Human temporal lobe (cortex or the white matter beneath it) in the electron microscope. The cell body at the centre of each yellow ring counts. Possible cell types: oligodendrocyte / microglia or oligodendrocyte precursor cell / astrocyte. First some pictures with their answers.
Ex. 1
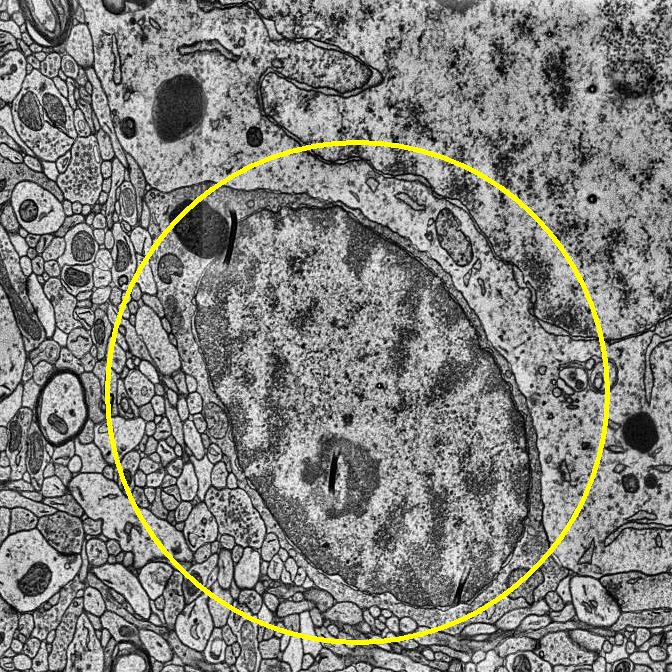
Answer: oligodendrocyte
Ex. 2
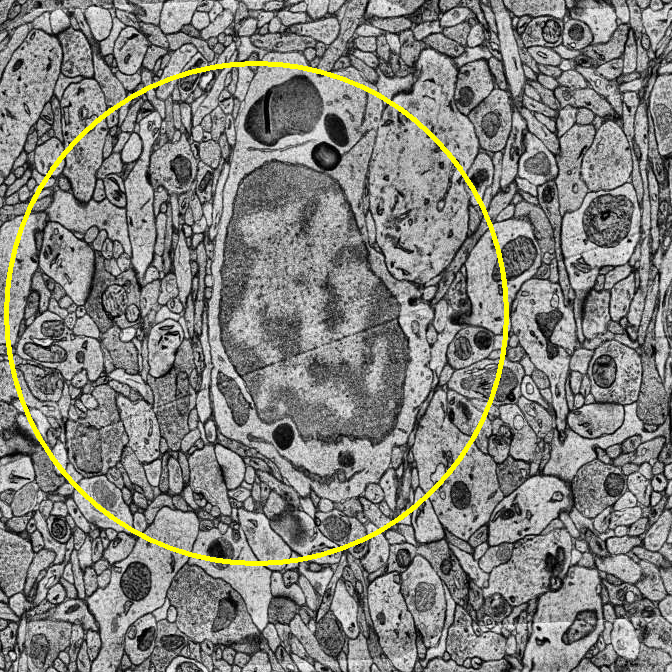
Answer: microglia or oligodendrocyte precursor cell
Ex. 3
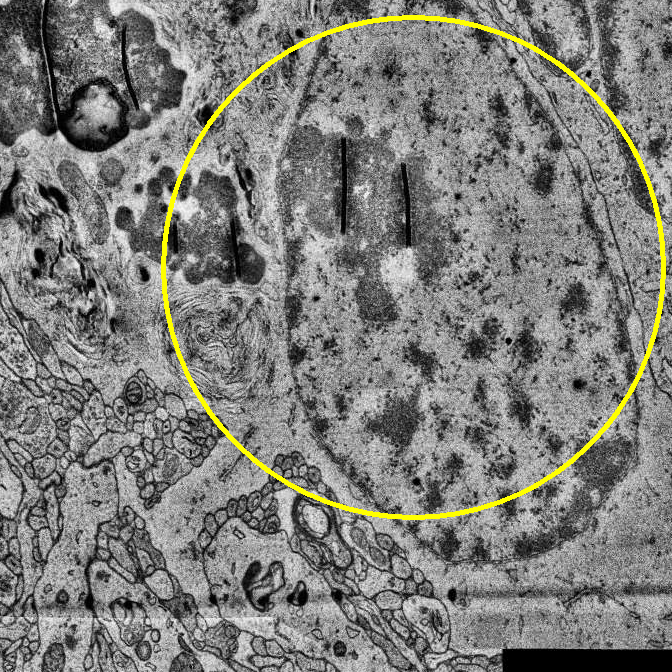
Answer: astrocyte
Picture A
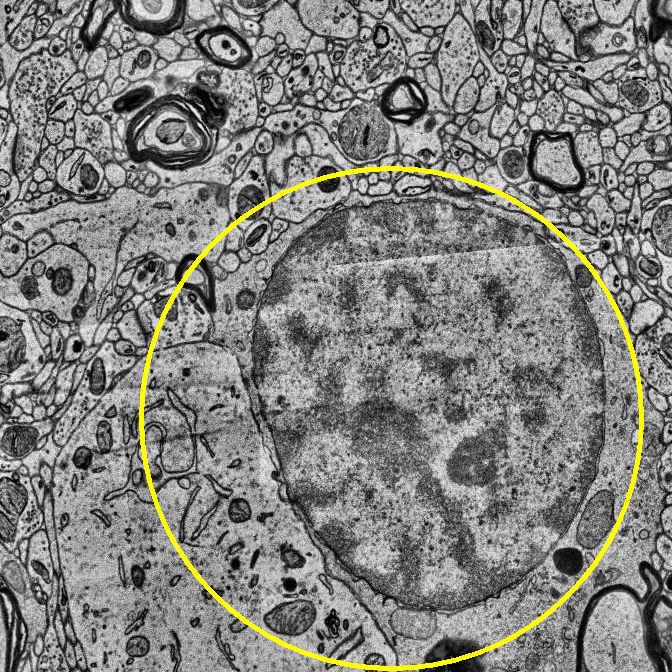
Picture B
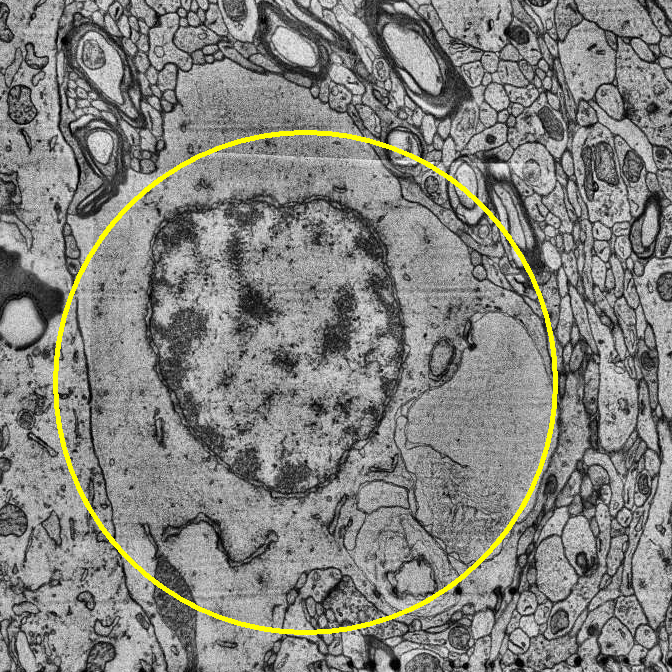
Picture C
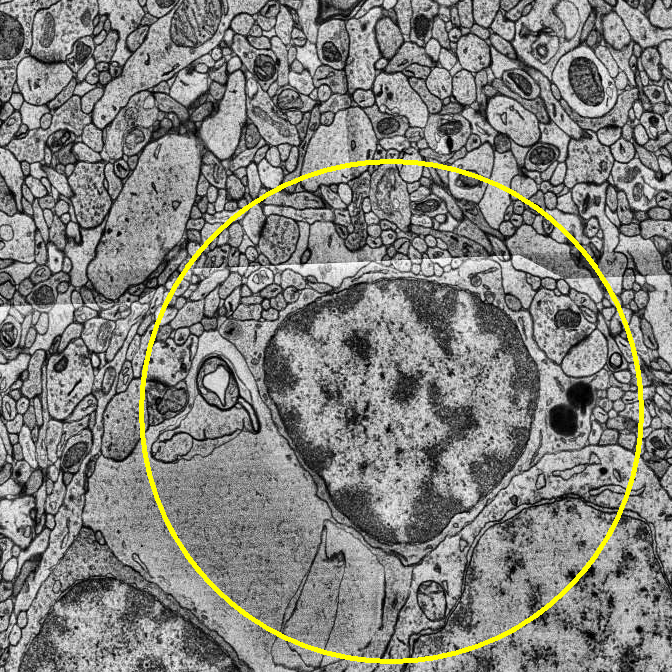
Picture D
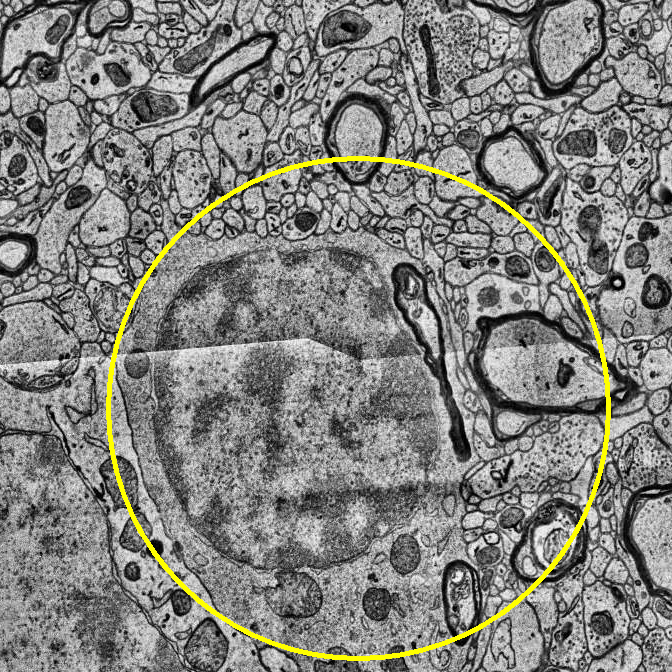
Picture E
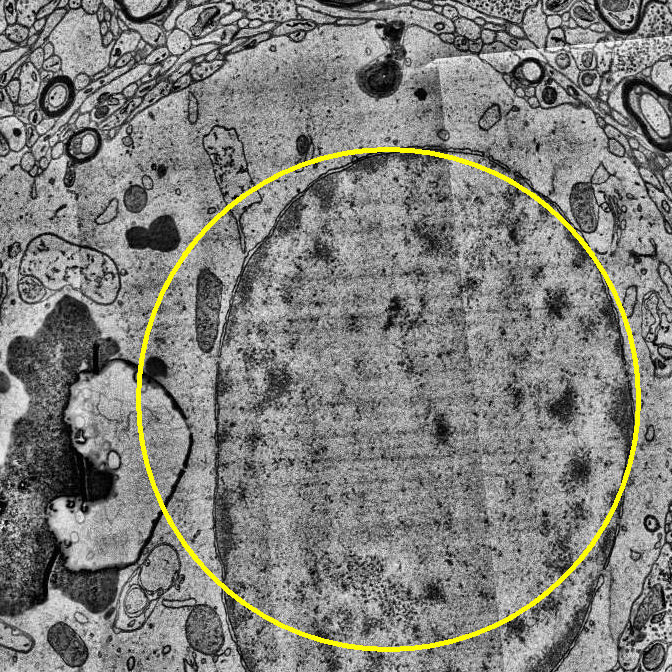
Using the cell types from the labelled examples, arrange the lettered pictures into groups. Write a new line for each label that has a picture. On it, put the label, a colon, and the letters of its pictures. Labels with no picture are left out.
oligodendrocyte: A, D
microglia or oligodendrocyte precursor cell: C
astrocyte: B, E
